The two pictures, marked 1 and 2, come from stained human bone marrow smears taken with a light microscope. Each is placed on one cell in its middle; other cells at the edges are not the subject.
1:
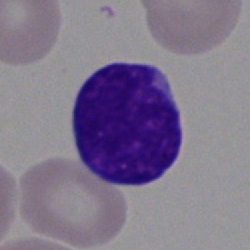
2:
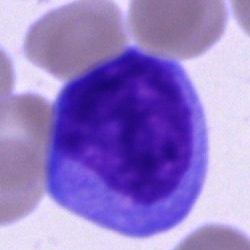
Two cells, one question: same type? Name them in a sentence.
Yes, the first and the second crop both show blasts.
